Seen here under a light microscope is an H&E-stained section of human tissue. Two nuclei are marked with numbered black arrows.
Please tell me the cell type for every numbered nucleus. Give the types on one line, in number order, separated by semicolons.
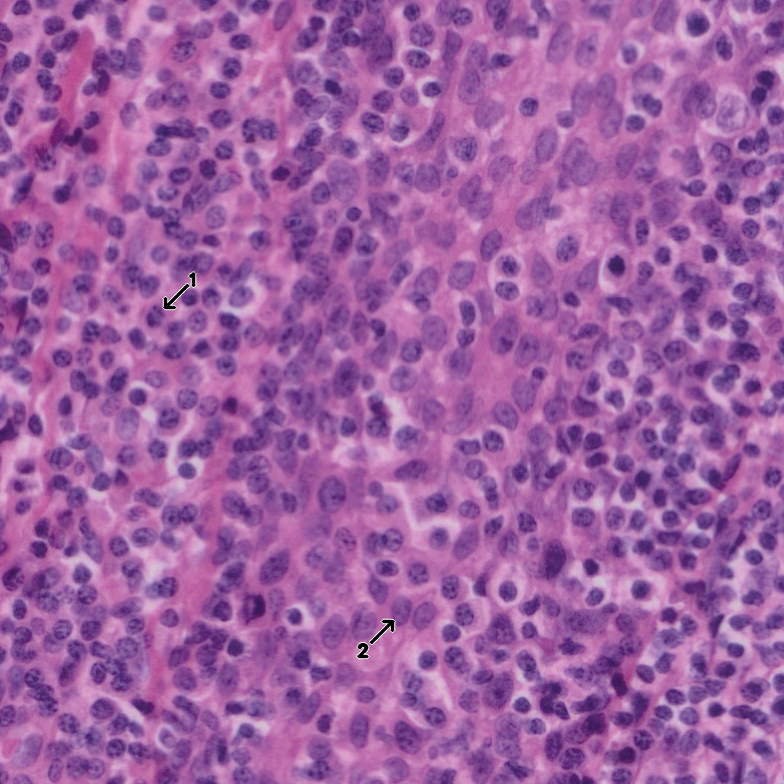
plasma cell; squamous epithelial cell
